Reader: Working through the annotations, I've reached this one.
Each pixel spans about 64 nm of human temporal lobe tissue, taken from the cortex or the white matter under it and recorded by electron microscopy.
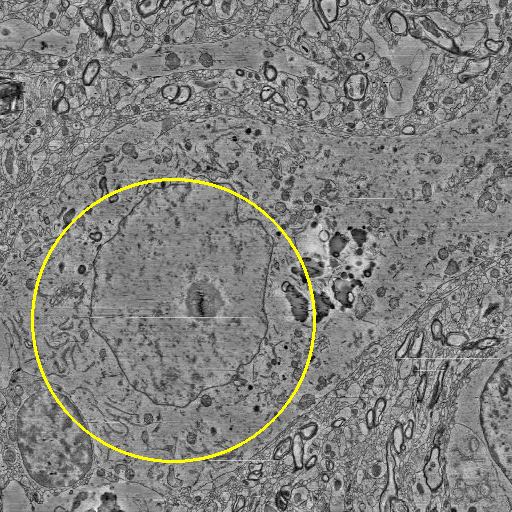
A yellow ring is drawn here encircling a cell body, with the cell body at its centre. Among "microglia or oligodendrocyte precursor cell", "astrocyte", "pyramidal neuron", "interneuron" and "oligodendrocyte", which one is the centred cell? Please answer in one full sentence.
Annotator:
The cell body at the centre of the yellow ring in this image belongs to a pyramidal neuron.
